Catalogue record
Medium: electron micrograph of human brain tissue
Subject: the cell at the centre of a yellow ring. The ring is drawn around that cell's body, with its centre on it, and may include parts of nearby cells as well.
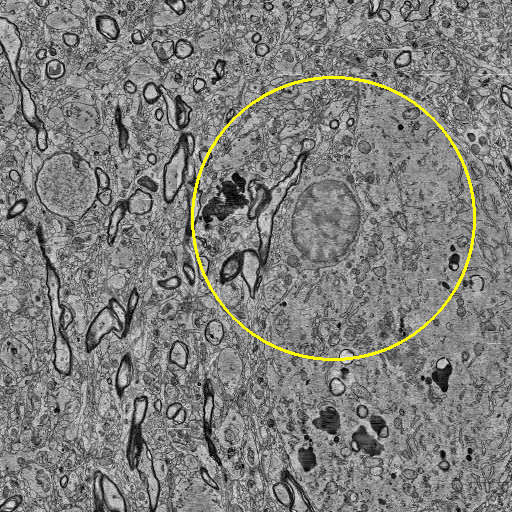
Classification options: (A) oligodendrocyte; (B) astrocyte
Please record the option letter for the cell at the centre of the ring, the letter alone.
A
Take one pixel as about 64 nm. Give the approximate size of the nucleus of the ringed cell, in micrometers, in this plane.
In this plane the nucleus spans approximately 5 by 4 micrometers.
